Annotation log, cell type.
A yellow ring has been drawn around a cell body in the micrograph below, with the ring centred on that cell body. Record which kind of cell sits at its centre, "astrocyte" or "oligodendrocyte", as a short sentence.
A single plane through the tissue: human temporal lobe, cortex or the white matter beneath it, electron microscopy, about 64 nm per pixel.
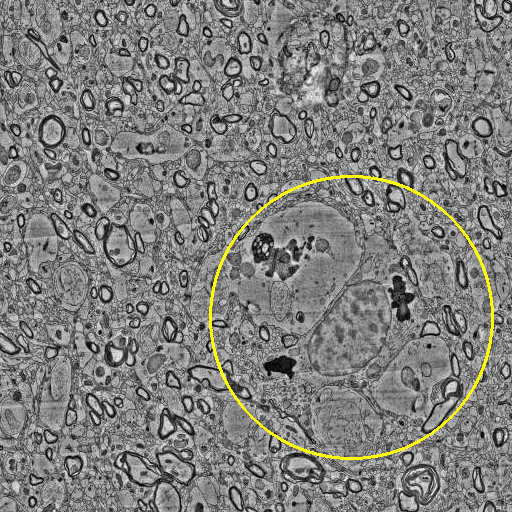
The cell at the centre of this ring is an oligodendrocyte.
